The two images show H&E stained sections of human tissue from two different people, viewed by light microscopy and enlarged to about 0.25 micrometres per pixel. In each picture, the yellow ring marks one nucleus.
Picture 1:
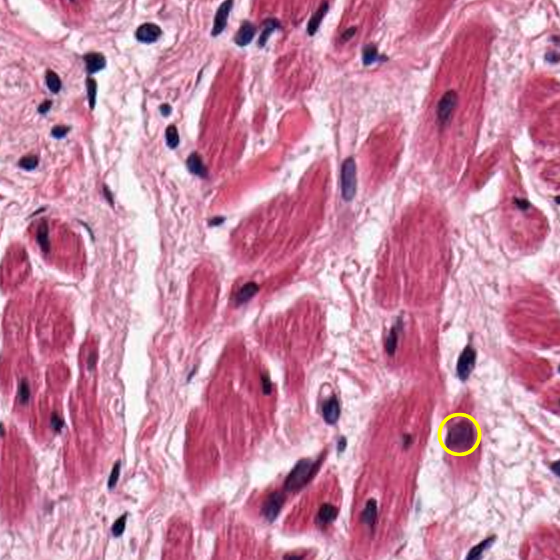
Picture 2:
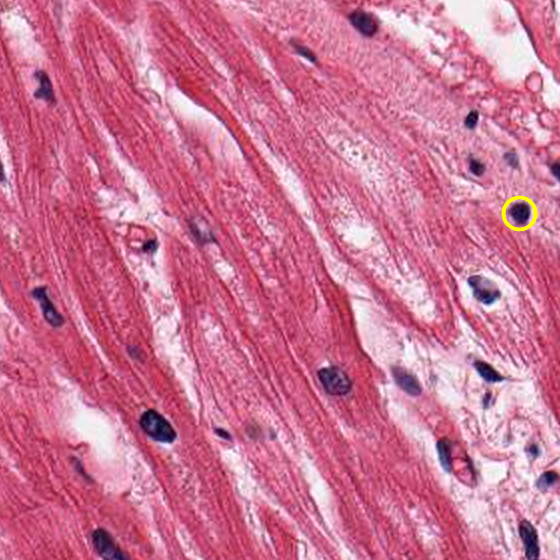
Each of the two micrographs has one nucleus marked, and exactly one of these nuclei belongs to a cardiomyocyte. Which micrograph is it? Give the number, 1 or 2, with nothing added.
1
